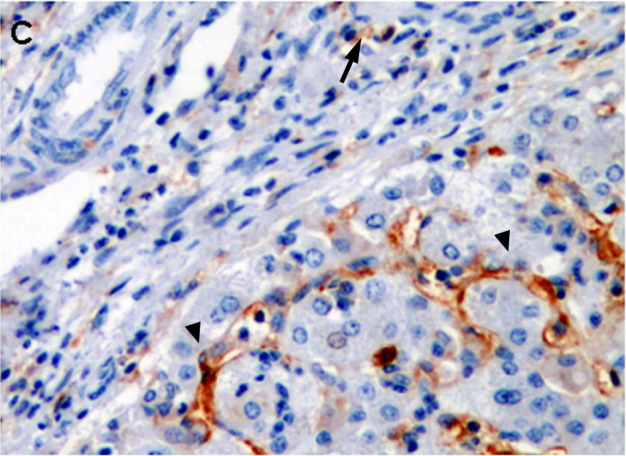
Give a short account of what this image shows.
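Liver tissue with a band of fibrous connective tissue containing many small elongated nuclei and a duct-like space at the upper left, bordering clusters of hepatocytes below. The hepatocytes are large polygonal cells with round blue nuclei and pale cytoplasm, and brown staining outlines the sinusoids running between their groups. A few brown-stained cells are scattered in the fibrous tissue and among the hepatocytes.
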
